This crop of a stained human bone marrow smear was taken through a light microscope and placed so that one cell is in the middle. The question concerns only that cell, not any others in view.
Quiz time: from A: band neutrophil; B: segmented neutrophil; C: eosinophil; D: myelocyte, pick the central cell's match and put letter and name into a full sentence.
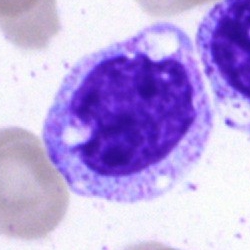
Located in the middle of the crop is a myelocyte, and option D is therefore correct.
